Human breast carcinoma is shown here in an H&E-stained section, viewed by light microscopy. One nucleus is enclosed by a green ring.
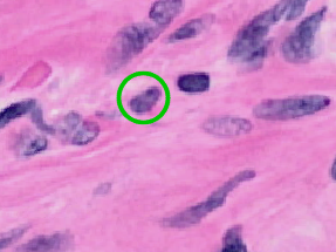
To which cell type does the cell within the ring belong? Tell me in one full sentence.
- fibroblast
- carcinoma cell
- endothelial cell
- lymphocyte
The identity of the cell within the ring: it is a lymphocyte.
